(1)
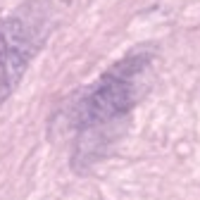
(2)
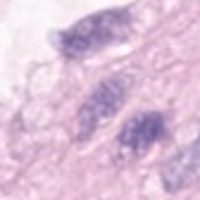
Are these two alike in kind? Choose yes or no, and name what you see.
Yes. Vascular myocytes.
